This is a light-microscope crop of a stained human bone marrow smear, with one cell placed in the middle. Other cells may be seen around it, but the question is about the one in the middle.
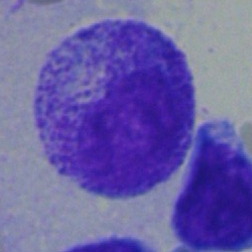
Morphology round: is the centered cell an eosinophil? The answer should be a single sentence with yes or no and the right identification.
No, the central cell is reported as a myelocyte rather than as an eosinophil.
